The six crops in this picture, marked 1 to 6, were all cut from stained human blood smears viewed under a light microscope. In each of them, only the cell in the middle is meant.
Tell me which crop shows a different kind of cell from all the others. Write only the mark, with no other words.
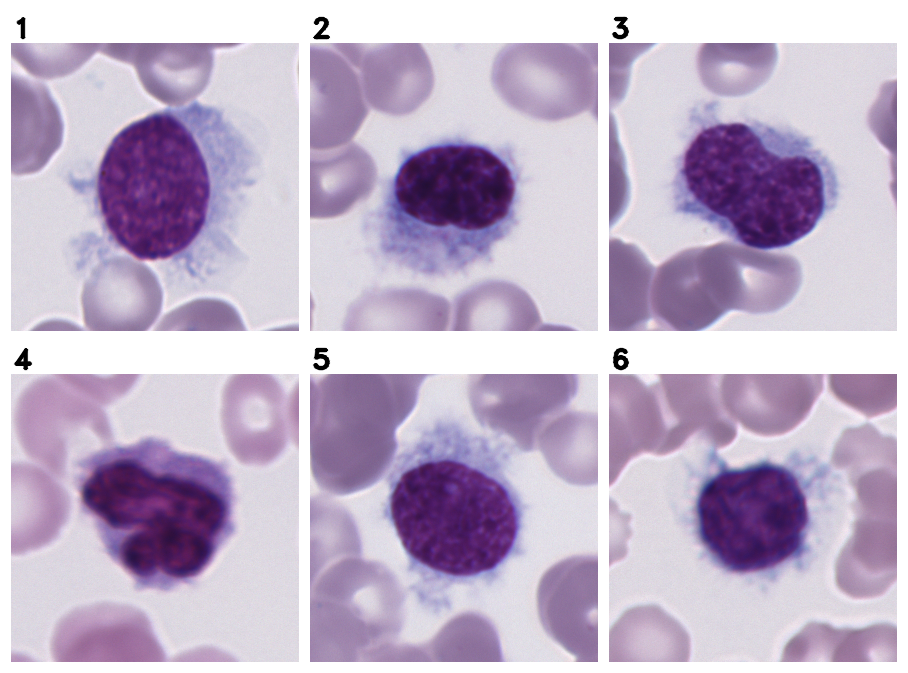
4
